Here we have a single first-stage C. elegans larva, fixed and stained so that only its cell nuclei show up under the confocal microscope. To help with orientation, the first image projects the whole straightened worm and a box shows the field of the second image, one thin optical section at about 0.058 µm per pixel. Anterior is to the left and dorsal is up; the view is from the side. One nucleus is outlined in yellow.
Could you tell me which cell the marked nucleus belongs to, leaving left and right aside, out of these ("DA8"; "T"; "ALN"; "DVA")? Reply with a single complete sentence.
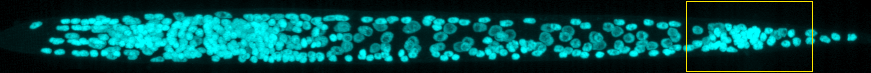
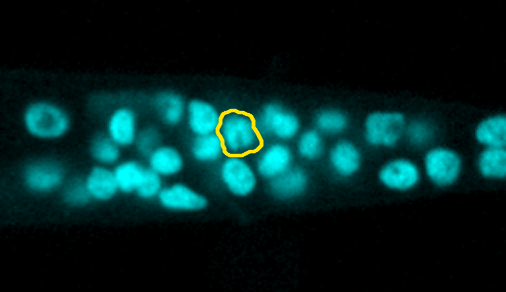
The cell whose nucleus is marked is DVA, a neuron.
